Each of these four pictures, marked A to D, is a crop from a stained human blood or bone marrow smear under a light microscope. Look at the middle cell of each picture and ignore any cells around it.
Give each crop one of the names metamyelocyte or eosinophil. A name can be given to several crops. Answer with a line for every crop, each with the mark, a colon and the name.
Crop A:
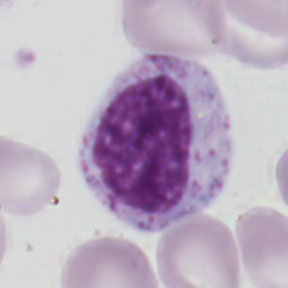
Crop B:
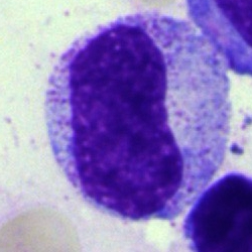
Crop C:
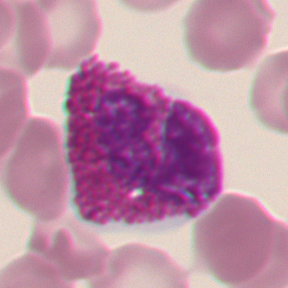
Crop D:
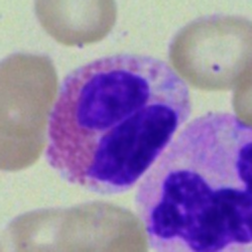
A: metamyelocyte
B: metamyelocyte
C: eosinophil
D: eosinophil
